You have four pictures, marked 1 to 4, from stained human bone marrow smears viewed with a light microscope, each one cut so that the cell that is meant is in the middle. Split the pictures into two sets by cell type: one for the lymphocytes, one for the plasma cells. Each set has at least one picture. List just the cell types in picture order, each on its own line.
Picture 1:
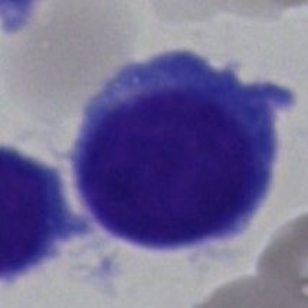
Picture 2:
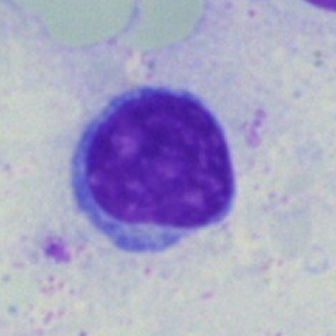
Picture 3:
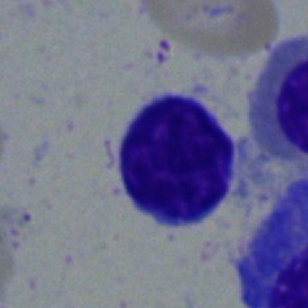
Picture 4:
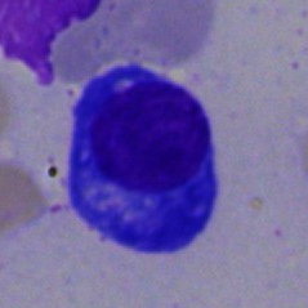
plasma cell
lymphocyte
lymphocyte
plasma cell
